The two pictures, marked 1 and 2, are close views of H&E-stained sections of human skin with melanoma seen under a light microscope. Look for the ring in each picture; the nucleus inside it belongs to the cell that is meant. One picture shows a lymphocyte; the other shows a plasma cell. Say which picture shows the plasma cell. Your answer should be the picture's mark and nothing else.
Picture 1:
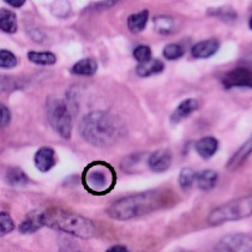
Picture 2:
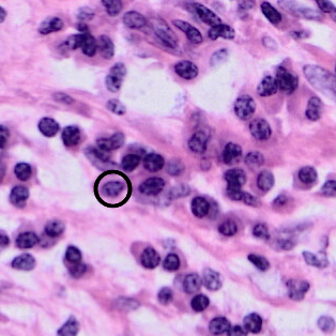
2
